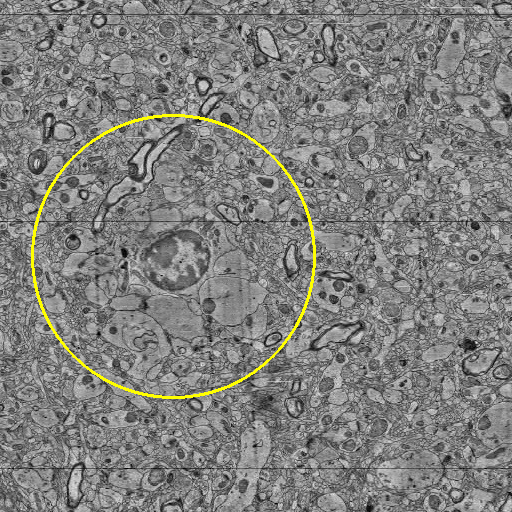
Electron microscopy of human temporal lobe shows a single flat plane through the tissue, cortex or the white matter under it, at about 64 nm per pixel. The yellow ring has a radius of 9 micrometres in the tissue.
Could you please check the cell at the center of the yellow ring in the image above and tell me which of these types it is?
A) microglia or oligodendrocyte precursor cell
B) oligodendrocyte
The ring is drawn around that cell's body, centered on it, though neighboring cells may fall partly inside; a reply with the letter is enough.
A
